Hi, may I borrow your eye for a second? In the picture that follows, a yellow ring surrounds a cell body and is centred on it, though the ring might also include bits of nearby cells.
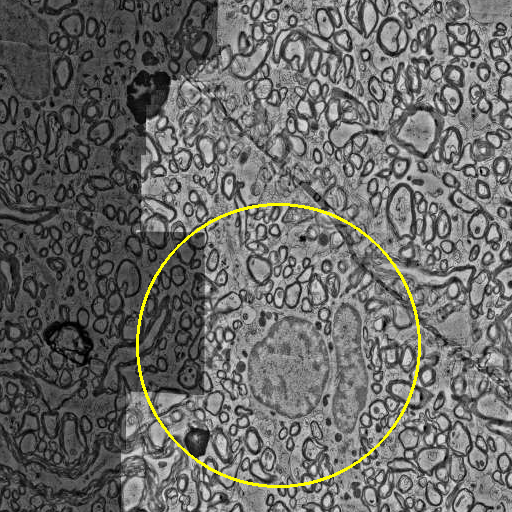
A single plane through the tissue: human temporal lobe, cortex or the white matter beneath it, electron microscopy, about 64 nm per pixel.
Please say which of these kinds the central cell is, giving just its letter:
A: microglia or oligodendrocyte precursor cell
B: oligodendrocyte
B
